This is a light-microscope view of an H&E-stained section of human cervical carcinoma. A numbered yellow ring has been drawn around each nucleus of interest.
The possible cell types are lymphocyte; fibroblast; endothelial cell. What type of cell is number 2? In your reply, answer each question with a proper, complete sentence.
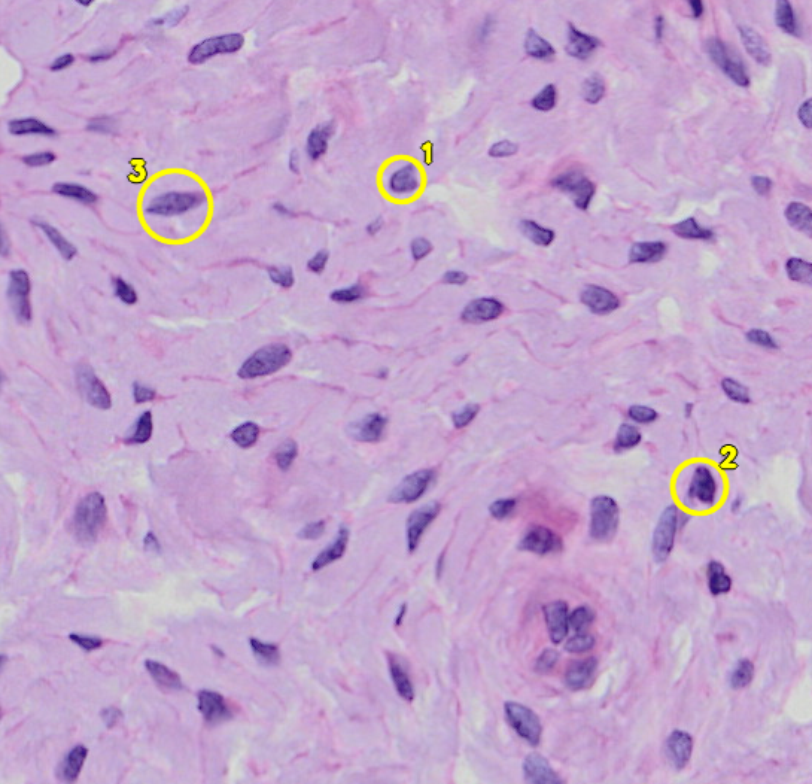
Belonging to a lymphocyte is the nucleus that carries the number 2.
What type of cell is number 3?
Among the marked nuclei, number 3 belongs to a fibroblast.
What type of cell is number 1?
At number 1, the marked cell is a fibroblast.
